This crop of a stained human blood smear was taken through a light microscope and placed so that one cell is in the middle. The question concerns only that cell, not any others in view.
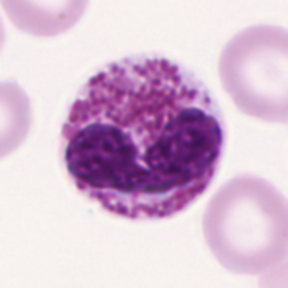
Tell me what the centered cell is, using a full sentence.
Of the cells in this crop, the central one is an eosinophil.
